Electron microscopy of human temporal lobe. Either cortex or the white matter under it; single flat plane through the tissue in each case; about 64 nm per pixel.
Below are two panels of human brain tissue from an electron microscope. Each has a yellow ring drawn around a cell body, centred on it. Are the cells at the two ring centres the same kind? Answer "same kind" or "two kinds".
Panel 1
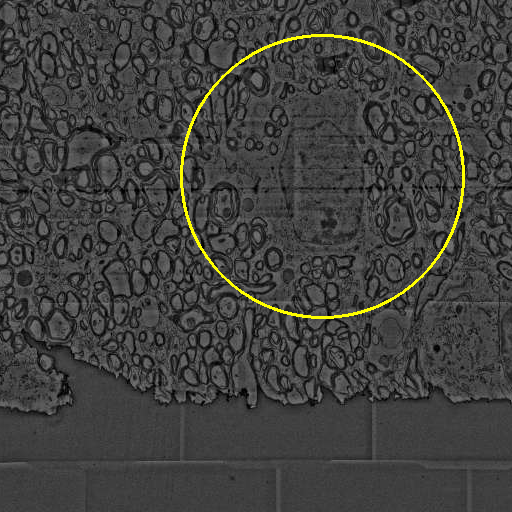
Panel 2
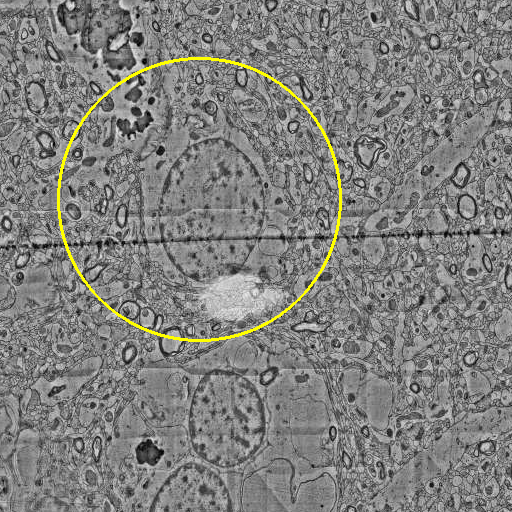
same kind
